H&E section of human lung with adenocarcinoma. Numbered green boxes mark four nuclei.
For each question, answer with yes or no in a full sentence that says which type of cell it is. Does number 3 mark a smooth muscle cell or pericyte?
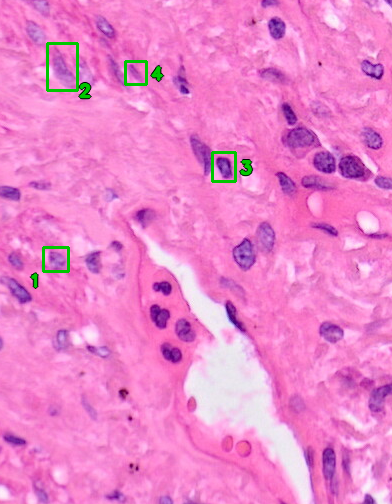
No, the cell labelled number 3 is not a smooth muscle cell or pericyte; it is a mast cell.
